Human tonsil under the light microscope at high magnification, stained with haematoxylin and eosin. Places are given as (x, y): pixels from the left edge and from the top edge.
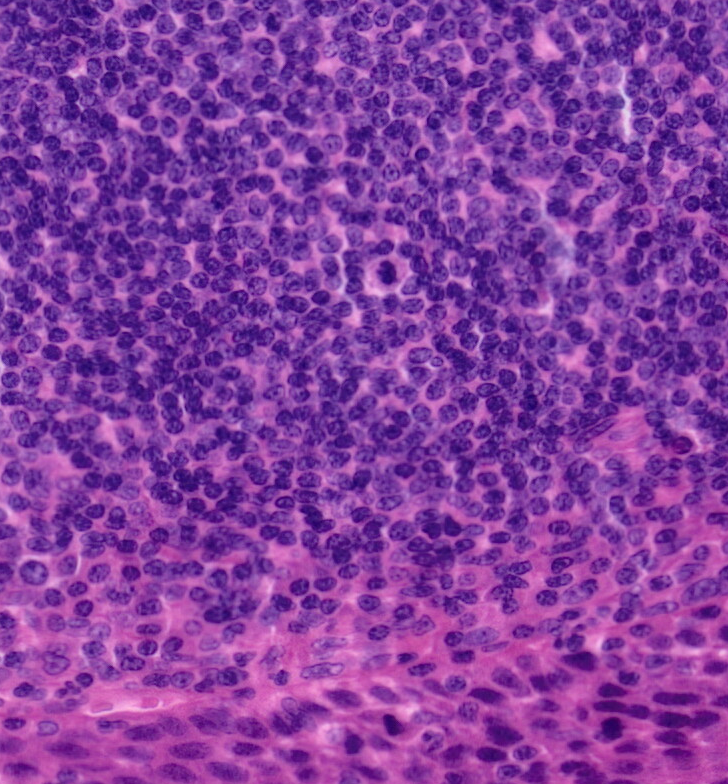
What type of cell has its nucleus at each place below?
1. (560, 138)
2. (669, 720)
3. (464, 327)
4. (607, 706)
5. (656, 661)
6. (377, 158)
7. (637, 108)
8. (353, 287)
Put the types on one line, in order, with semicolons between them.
small lymphocyte; squamous epithelial cell; small lymphocyte; squamous epithelial cell; squamous epithelial cell; small lymphocyte; small lymphocyte; small lymphocyte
